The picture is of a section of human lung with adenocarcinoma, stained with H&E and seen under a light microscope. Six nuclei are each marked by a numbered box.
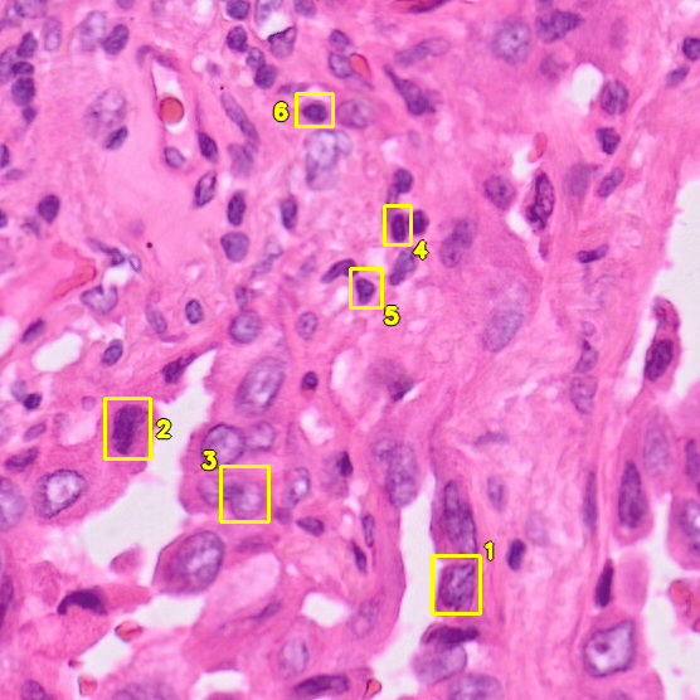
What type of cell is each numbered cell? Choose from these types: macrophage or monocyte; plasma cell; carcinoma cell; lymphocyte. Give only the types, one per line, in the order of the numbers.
carcinoma cell
carcinoma cell
carcinoma cell
lymphocyte
lymphocyte
lymphocyte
